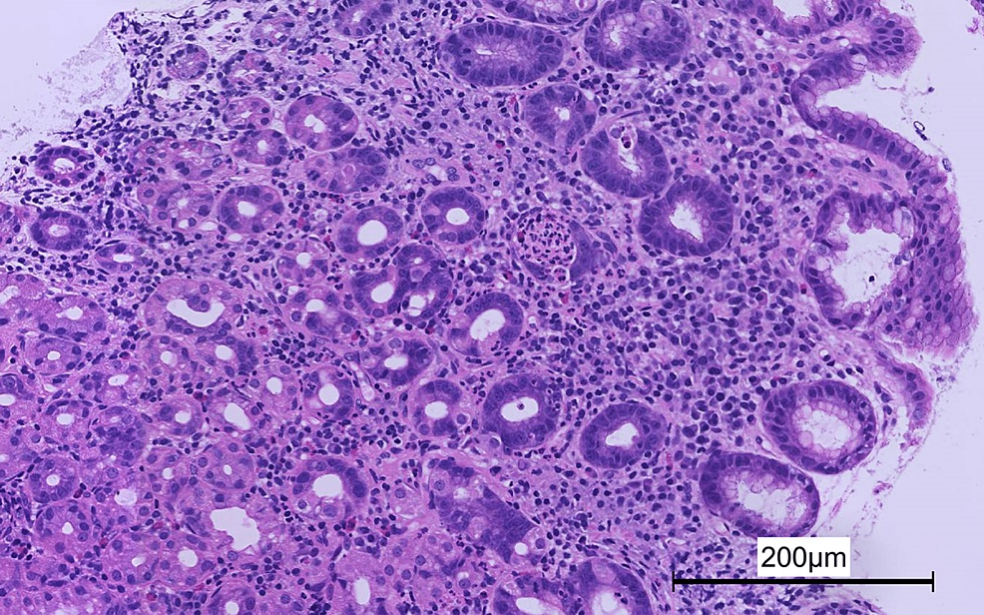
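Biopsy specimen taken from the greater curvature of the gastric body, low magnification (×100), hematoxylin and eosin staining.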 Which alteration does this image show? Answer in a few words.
Inflammatory cell infiltration.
